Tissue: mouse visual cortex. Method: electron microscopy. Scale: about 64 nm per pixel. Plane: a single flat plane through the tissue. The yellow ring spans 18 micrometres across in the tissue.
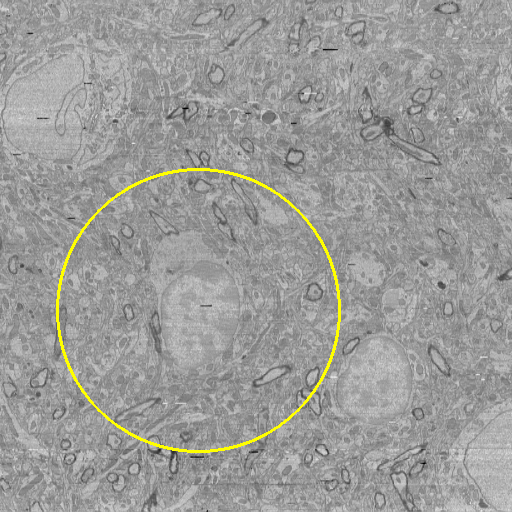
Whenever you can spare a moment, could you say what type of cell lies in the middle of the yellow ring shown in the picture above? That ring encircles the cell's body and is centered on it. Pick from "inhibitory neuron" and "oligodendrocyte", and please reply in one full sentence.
The cell whose body sits at the middle of the yellow ring is an oligodendrocyte.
